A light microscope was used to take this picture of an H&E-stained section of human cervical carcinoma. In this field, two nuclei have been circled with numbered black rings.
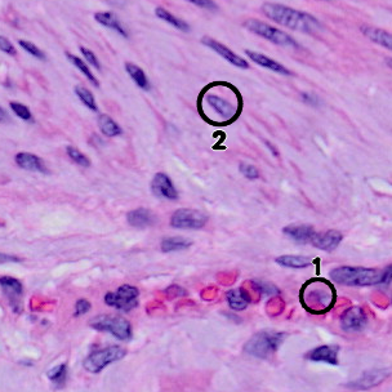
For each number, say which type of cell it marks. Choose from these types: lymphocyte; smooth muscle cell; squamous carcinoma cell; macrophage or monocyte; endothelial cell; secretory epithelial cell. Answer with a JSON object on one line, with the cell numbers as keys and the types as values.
{"1": "endothelial cell", "2": "smooth muscle cell"}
